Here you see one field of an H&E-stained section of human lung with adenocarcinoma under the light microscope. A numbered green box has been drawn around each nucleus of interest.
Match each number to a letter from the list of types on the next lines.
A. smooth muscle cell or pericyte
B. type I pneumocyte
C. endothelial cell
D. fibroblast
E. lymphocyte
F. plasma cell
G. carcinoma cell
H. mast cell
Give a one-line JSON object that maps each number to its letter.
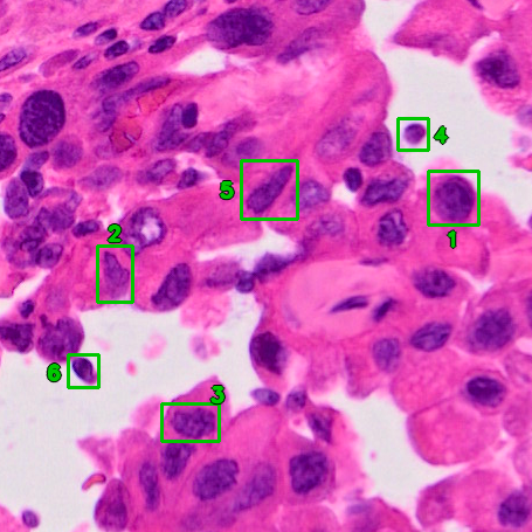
{"1": "G", "2": "G", "3": "G", "4": "E", "5": "G", "6": "E"}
